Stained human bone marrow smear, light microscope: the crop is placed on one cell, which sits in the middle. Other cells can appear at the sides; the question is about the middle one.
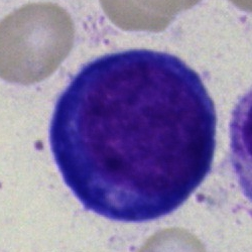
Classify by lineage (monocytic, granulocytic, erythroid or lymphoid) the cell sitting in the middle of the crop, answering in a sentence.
The central cell is grouped with the erythroid lineage.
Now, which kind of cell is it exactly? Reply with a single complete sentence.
In the central position of this crop, the cell is a proerythroblast.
